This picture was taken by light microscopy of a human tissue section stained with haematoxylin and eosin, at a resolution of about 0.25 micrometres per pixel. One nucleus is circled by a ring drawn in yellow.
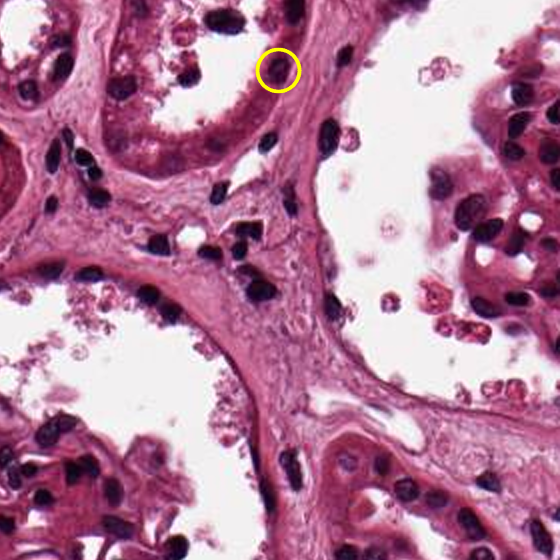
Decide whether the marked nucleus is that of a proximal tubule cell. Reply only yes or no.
yes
